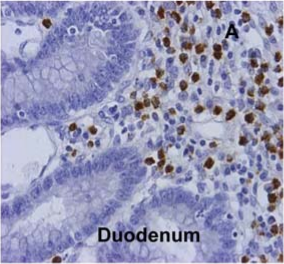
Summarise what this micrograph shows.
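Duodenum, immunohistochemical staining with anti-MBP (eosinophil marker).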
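The glands are lined by tall columnar epithelium with basal, elongated blue nuclei and pale cytoplasm, some cells looking goblet-like with clear mucin. Between the glands lies a dense, cellular connective tissue packed with small round inflammatory cells with blue nuclei, among which numerous rounded brown cells are scattered, often in clusters. Only occasional brown cells sit within or at the edge of the epithelial lining itself.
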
